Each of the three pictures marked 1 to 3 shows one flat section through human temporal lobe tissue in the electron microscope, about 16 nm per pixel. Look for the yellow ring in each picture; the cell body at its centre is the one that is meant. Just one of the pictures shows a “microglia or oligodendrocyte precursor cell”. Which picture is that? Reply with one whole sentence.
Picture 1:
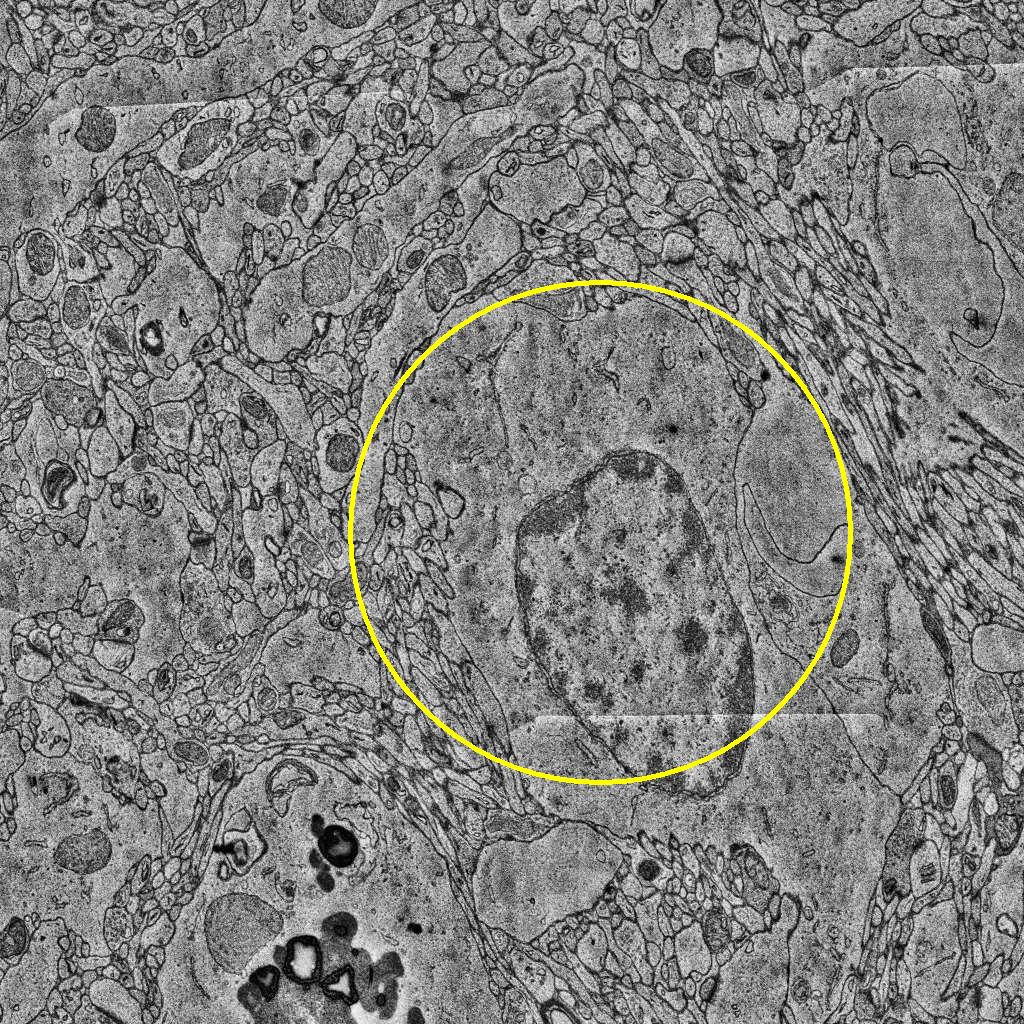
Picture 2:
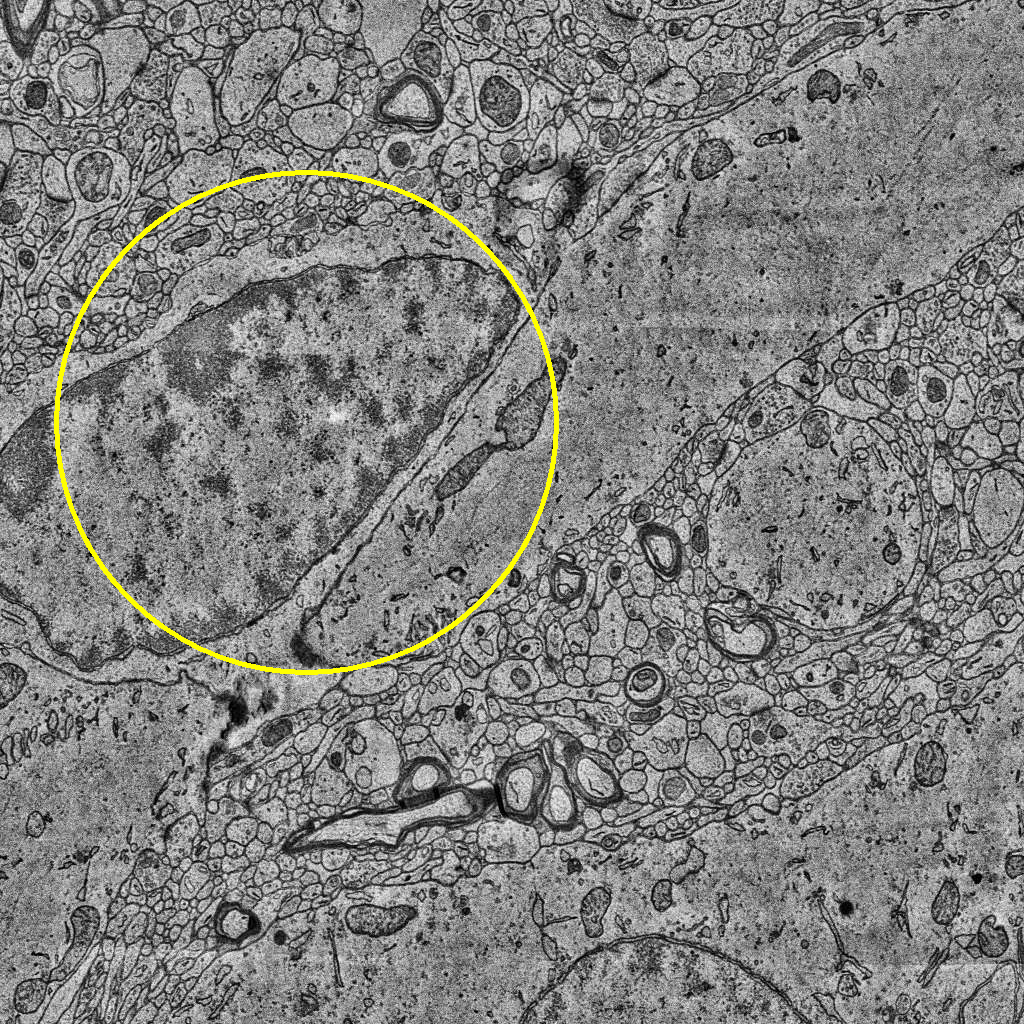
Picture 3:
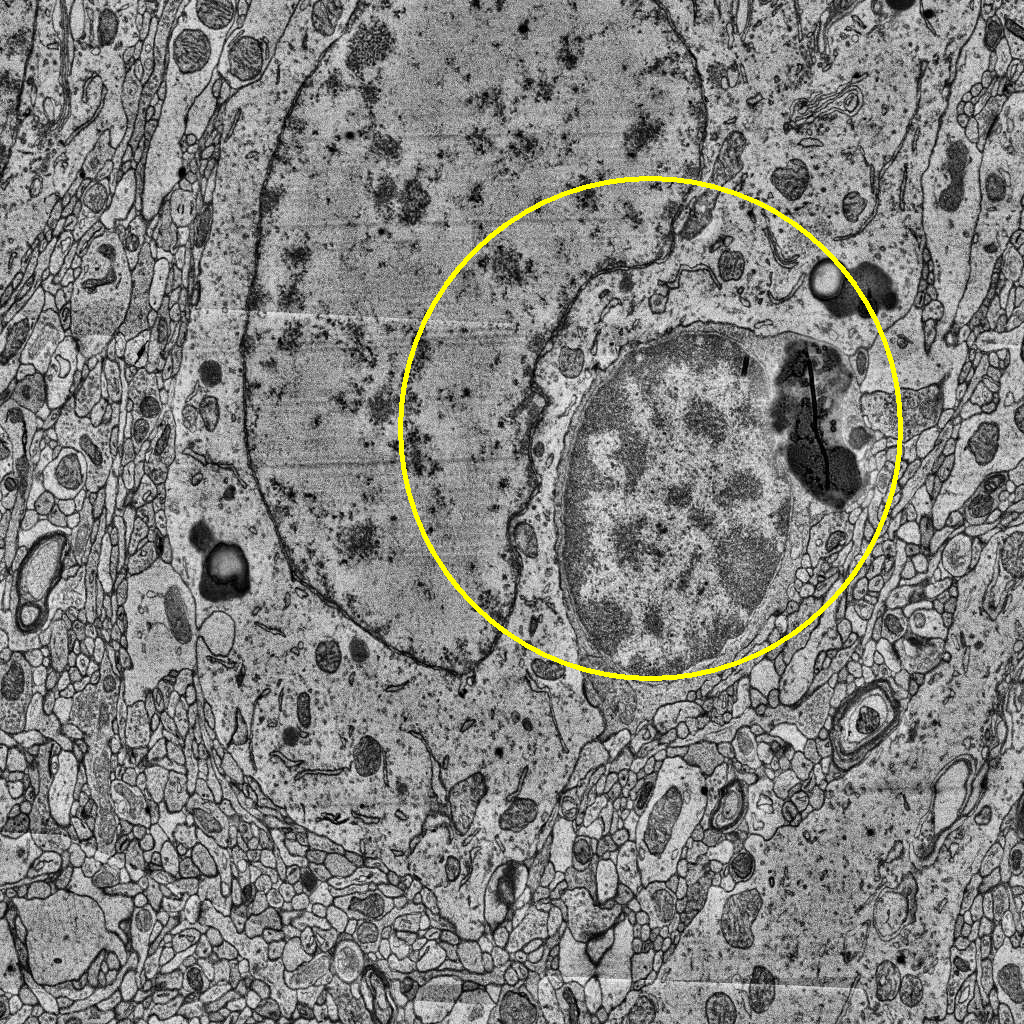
Picture 2 is the one that shows the “microglia or oligodendrocyte precursor cell”.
